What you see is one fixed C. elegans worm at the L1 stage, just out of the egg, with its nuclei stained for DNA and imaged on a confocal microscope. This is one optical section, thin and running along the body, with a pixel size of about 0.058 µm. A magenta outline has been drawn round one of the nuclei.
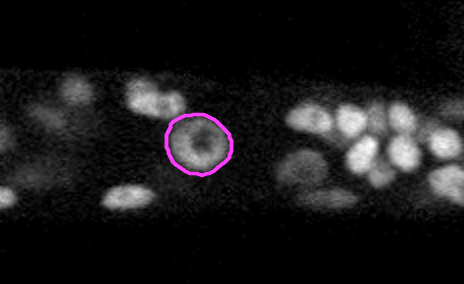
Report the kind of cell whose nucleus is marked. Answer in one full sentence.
It belongs to a seam cell.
